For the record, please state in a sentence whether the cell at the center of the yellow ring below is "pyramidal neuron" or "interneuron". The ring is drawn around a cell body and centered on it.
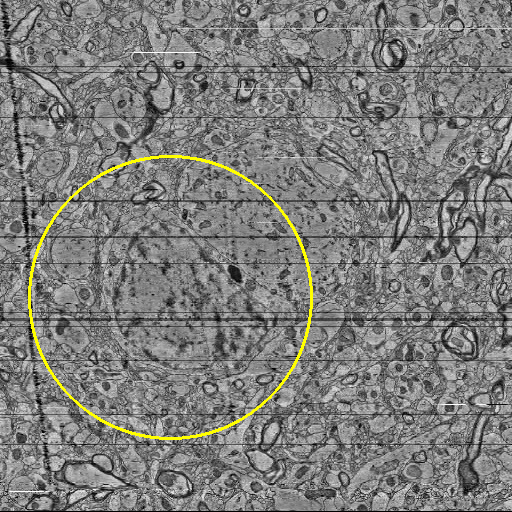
The cell at the ring's center is an interneuron.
